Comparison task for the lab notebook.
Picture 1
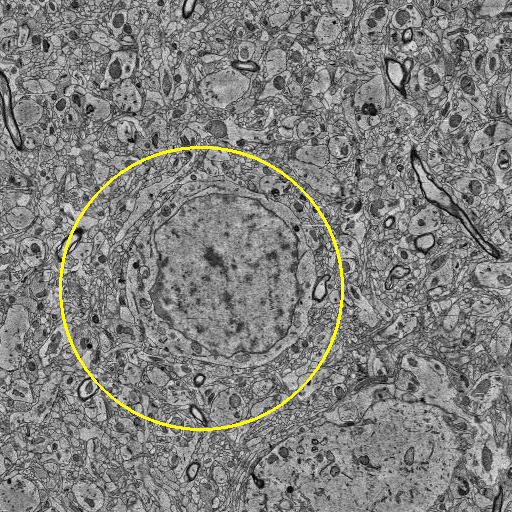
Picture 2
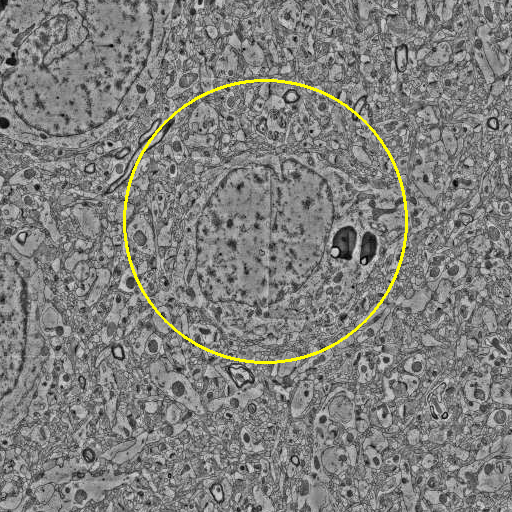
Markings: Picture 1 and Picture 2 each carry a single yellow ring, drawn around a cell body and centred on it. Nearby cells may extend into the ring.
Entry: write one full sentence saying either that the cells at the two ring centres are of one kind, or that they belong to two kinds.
The cells sitting at the ring centres in Picture 1 and Picture 2 are of one kind.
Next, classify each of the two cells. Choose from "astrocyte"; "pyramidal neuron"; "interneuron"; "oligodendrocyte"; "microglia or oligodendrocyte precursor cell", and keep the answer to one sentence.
The ring centre holds an interneuron in each of the two pictures.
